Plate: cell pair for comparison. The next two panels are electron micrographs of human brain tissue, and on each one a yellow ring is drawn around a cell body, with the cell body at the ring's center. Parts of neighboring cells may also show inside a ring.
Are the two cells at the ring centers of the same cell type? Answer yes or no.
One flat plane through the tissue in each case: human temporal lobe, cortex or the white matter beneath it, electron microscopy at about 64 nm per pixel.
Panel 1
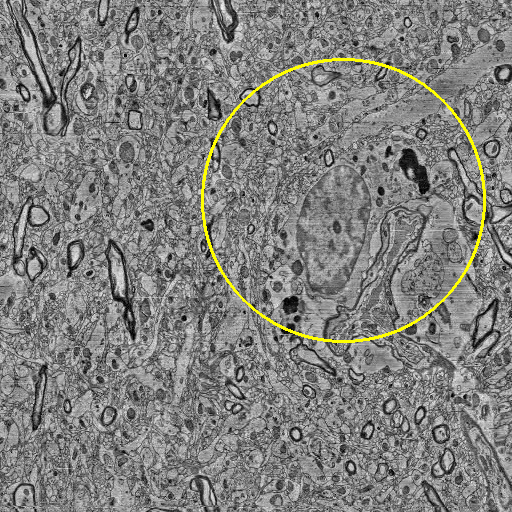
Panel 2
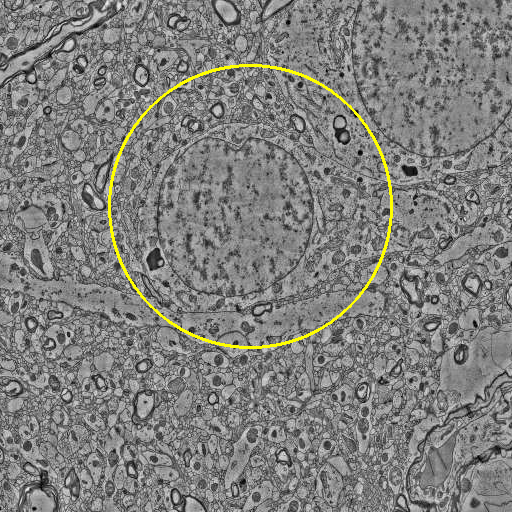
no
